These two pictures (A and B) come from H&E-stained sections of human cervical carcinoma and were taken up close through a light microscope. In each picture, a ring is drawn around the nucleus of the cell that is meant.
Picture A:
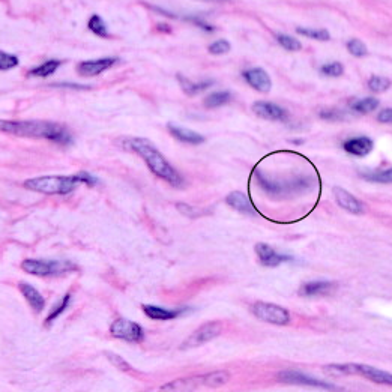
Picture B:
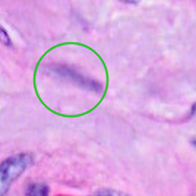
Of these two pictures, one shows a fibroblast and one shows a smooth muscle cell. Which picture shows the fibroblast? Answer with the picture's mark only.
B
